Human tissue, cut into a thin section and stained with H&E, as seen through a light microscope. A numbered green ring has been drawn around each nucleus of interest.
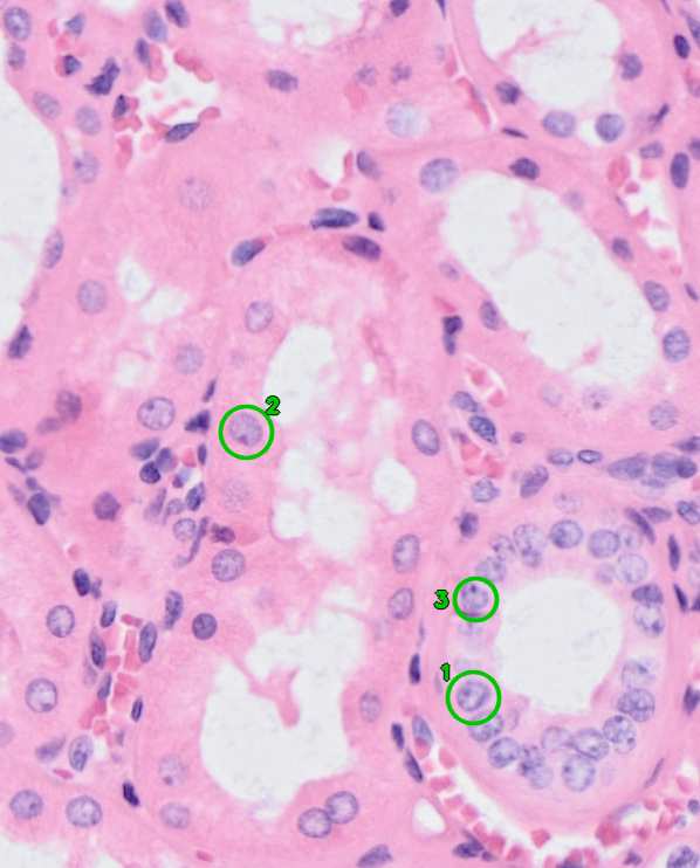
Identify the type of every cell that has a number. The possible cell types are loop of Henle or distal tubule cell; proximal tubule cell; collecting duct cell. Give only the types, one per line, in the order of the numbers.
collecting duct cell
proximal tubule cell
collecting duct cell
